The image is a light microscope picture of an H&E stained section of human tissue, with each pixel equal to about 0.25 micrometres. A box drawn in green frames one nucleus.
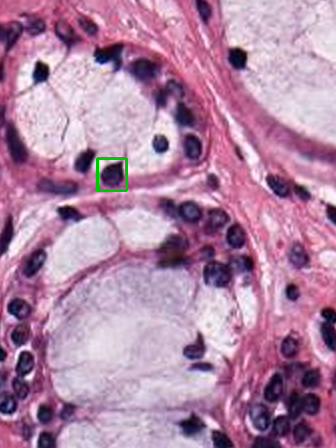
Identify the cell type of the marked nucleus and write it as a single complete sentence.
It is a mucous gland cell that the marked nucleus belongs to.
